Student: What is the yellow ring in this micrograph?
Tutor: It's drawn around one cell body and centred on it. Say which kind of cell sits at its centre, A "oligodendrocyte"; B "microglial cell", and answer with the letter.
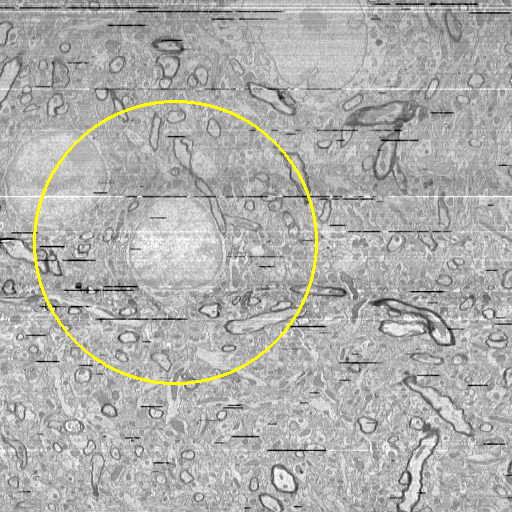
A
